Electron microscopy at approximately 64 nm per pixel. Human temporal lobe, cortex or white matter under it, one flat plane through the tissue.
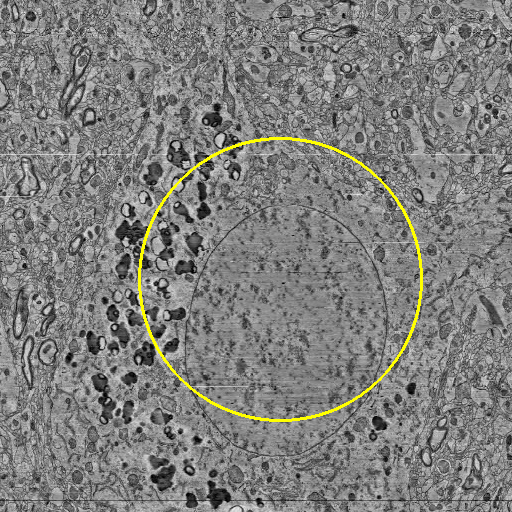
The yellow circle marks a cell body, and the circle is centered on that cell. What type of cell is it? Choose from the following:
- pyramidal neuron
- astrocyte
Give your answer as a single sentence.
This cell body belongs to a pyramidal neuron.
